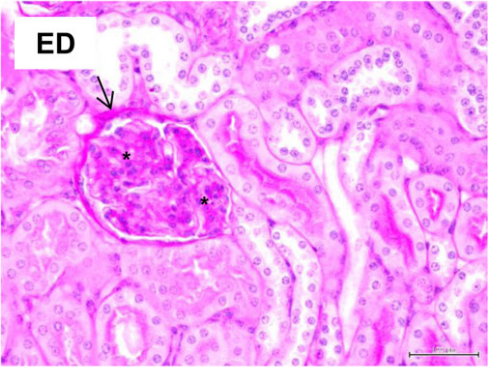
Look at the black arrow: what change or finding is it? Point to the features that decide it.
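The arrow points to the outer rim around the glomerular tuft. At the arrow the rim is a broad, intensely magenta band rather than a thin line. The answer: thickening of Bowman's capsule.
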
